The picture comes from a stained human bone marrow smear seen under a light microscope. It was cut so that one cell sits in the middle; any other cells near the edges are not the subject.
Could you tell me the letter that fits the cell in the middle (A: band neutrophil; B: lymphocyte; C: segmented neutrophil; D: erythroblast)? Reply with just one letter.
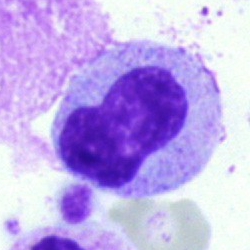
A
